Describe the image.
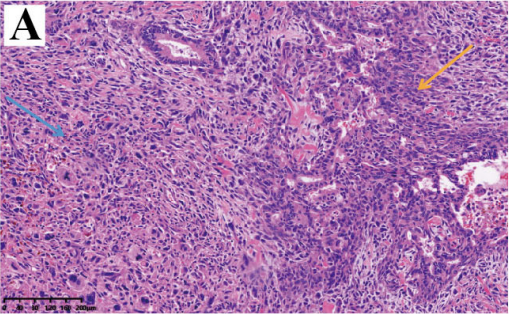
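This tumour tissue shows gland-forming carcinoma intermingled with a spindle-cell sarcoma-like component. Small tubular glands lined by epithelial cells are scattered among sheets of densely packed spindle cells. There is no clear border between the glandular areas and the spindle-cell areas. The overall picture is highly cellular and disorganised, unlike any normal tissue.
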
